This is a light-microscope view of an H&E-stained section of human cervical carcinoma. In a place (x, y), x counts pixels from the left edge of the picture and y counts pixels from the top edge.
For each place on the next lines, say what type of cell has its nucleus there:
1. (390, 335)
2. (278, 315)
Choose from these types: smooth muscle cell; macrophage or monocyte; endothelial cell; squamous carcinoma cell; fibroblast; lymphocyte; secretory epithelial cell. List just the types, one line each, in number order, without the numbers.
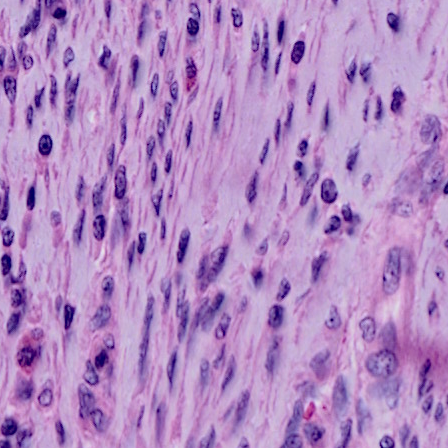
endothelial cell
lymphocyte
